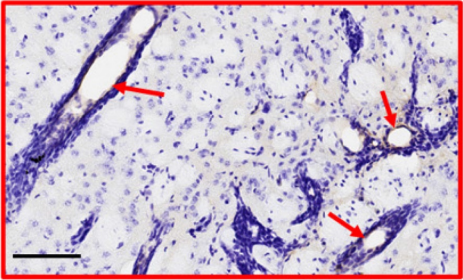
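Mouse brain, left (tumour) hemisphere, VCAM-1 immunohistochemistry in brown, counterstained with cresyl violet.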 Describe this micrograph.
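Along and around the vessels lie dense cuffs of small, darkly violet-stained nuclei, far more crowded than the nuclei of the surrounding tissue. The rest of the field is pale, lacy-looking tissue with evenly scattered small nuclei. A faint brown tint sits at the vessel walls and in patches close to them.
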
